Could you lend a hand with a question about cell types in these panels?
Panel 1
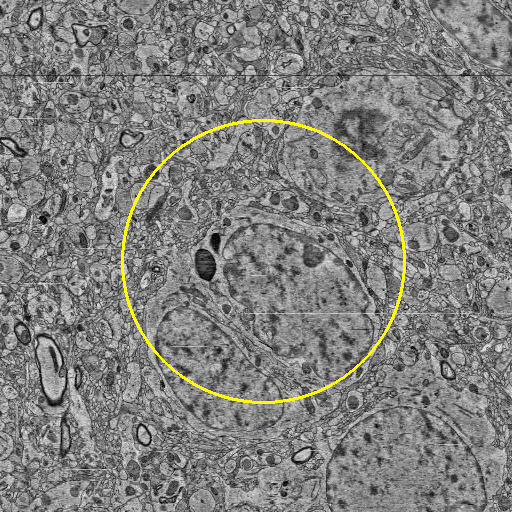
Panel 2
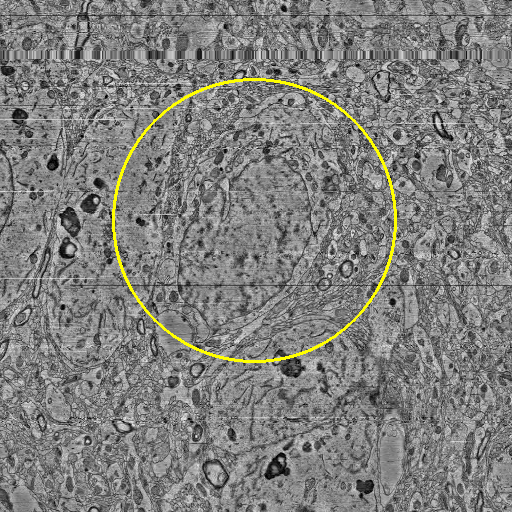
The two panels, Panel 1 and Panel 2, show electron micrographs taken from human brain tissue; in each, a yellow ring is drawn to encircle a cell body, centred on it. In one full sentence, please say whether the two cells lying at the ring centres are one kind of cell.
Yes, the cells at the ring centres in the two panels are one kind of cell.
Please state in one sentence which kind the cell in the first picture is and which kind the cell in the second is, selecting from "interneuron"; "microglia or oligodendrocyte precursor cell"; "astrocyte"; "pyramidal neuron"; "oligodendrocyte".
Both pictures show an interneuron at the centre of the ring.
